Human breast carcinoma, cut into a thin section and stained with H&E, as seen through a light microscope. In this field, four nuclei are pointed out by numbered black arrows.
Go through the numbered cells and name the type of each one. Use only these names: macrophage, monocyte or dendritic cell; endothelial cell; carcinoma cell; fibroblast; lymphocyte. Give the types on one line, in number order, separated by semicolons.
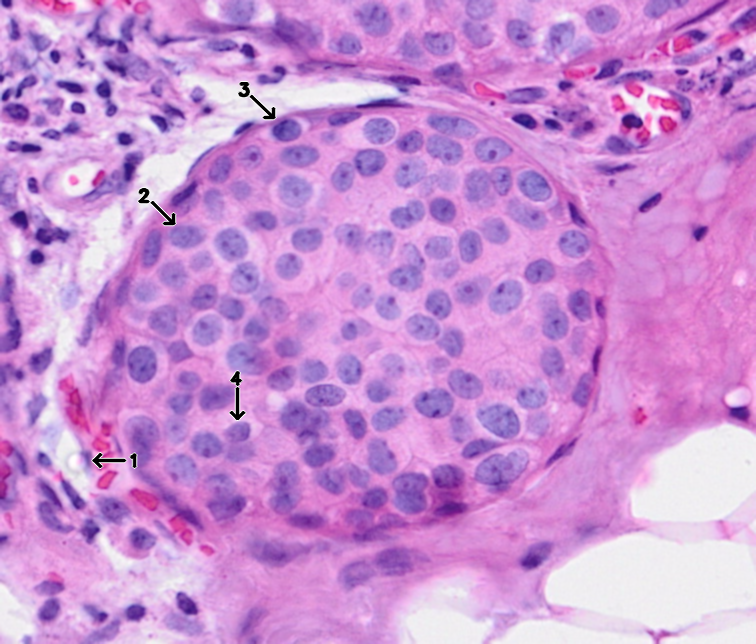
endothelial cell; carcinoma cell; carcinoma cell; carcinoma cell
